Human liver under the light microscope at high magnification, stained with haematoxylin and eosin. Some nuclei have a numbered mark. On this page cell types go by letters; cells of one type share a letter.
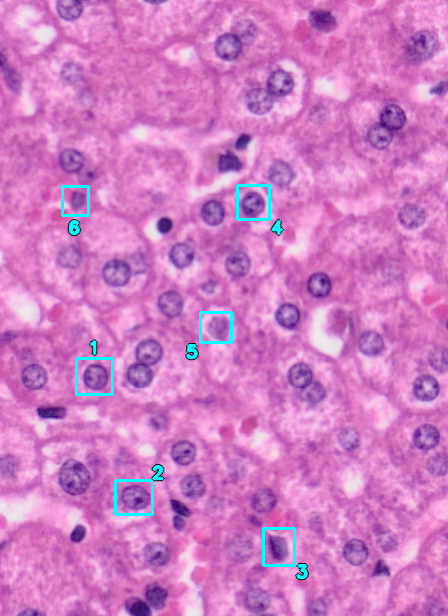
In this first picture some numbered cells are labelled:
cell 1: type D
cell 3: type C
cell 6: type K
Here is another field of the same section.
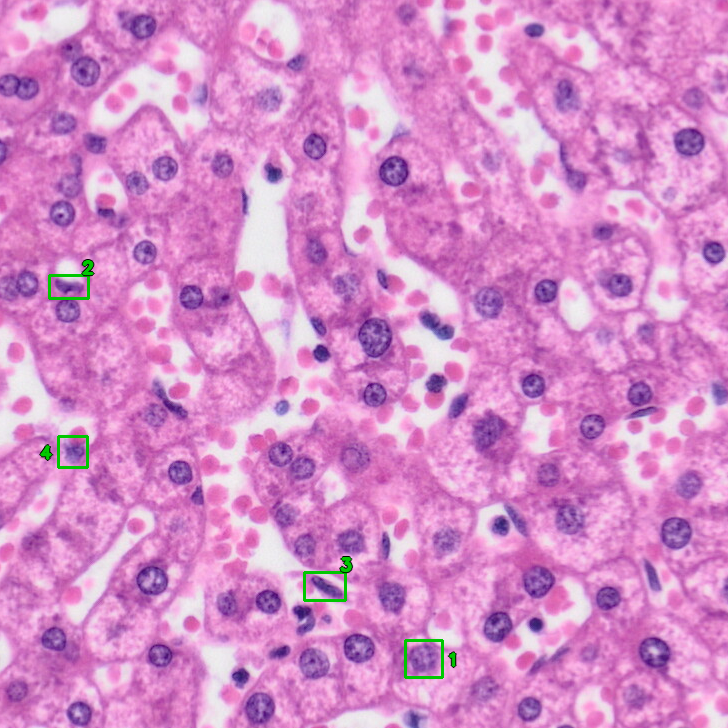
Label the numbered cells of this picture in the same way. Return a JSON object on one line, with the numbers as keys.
{"1": "type D", "2": "type C", "3": "type K", "4": "type C"}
